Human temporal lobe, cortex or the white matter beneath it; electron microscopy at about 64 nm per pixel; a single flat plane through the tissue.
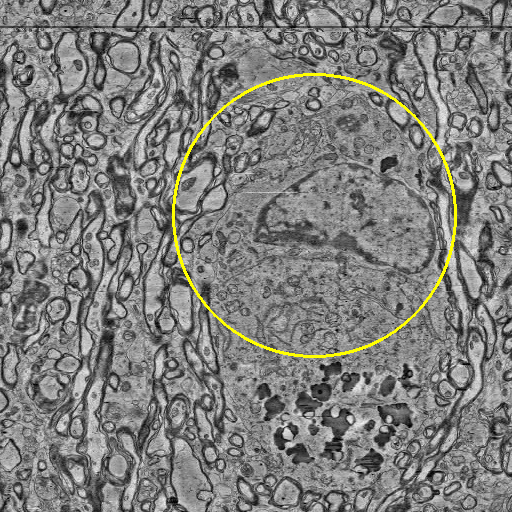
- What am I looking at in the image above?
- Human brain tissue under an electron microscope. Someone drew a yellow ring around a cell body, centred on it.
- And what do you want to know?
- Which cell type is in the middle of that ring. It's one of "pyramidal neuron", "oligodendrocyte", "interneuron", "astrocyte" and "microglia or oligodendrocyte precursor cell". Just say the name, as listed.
microglia or oligodendrocyte precursor cell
